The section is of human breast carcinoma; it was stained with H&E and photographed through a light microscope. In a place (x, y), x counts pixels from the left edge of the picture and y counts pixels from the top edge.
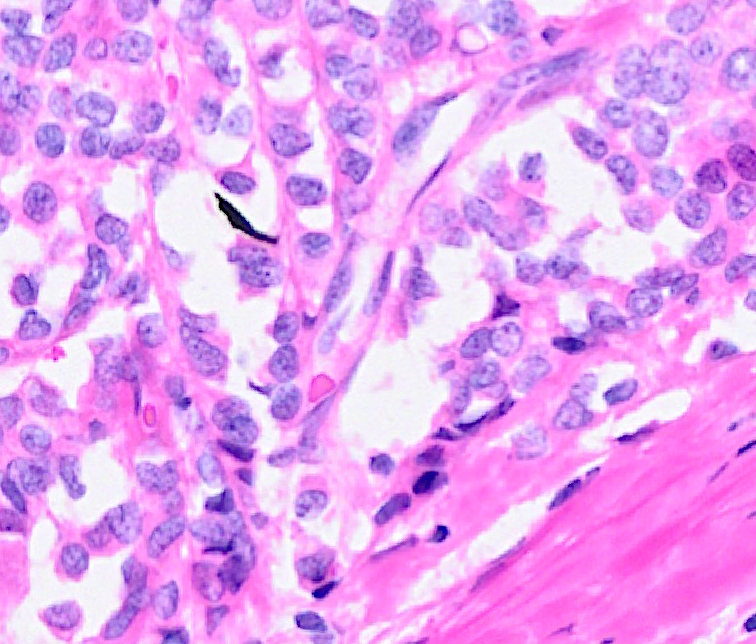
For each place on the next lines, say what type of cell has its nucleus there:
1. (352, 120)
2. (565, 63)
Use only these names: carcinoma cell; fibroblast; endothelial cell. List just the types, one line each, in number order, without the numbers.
carcinoma cell
endothelial cell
